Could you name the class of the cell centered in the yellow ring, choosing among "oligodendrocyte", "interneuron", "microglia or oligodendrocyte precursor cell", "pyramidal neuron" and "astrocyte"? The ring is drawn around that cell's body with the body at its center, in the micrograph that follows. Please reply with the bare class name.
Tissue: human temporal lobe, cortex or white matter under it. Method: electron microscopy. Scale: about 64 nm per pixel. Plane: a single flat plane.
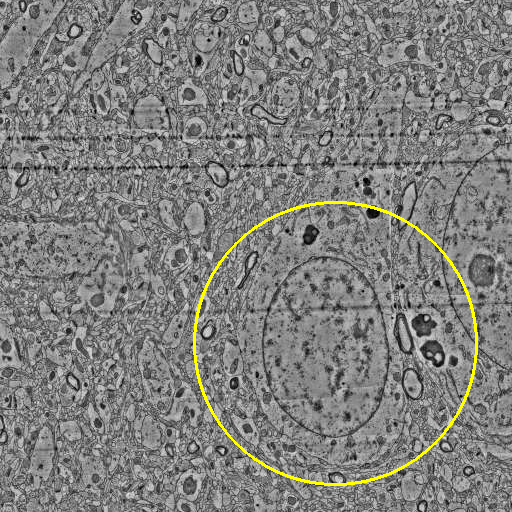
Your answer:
pyramidal neuron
